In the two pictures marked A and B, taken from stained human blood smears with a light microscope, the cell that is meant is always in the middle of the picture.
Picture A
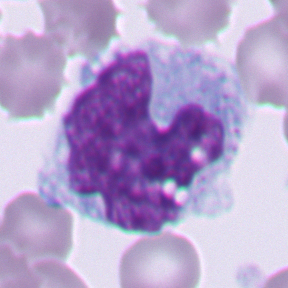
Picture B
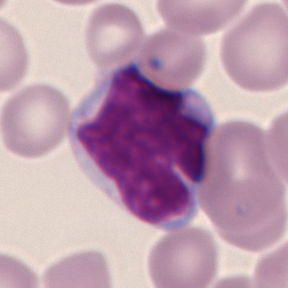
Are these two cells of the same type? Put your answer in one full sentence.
No. Picture A shows a monocyte, but picture B shows a large granular lymphocyte.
